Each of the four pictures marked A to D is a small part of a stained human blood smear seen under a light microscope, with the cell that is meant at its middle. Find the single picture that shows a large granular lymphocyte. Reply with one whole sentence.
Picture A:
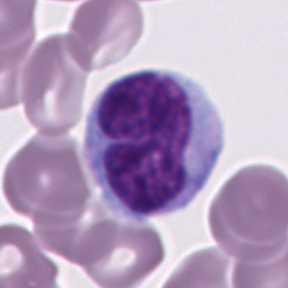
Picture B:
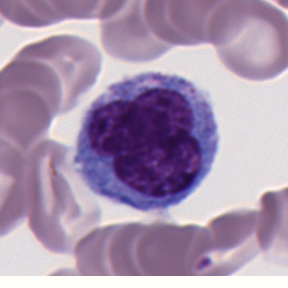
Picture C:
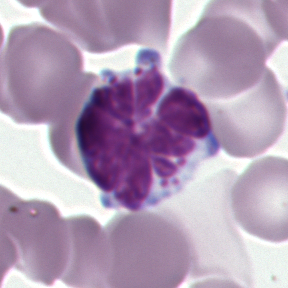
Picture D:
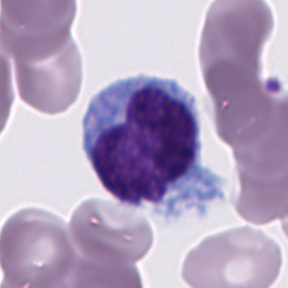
It is picture C that shows the large granular lymphocyte.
